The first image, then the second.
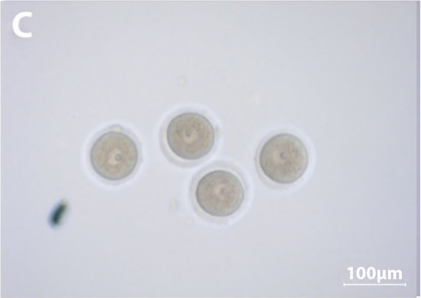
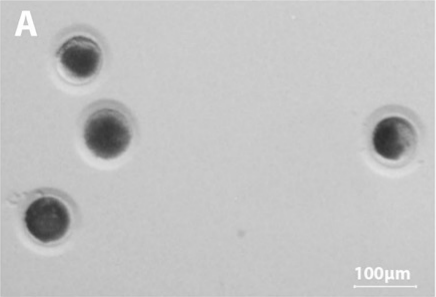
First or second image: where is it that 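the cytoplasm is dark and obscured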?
the second image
